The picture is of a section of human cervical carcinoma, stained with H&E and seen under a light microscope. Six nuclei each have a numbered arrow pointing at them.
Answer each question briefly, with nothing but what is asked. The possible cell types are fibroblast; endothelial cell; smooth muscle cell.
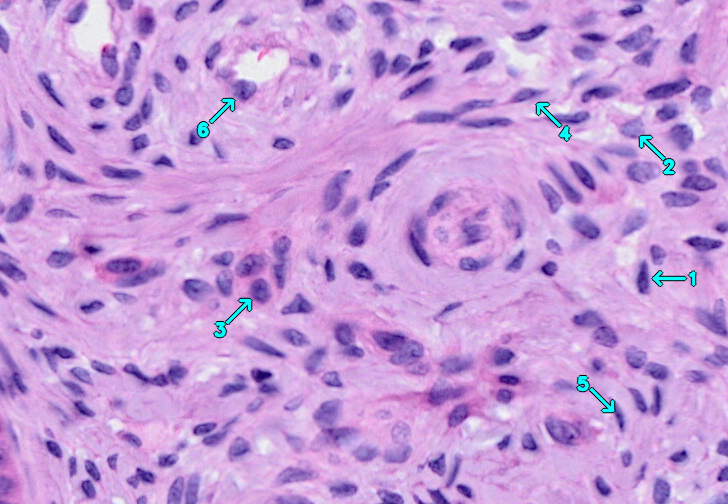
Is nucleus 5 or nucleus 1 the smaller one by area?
5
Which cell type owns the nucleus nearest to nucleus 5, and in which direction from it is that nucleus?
a fibroblast, above and to the right of nucleus 5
